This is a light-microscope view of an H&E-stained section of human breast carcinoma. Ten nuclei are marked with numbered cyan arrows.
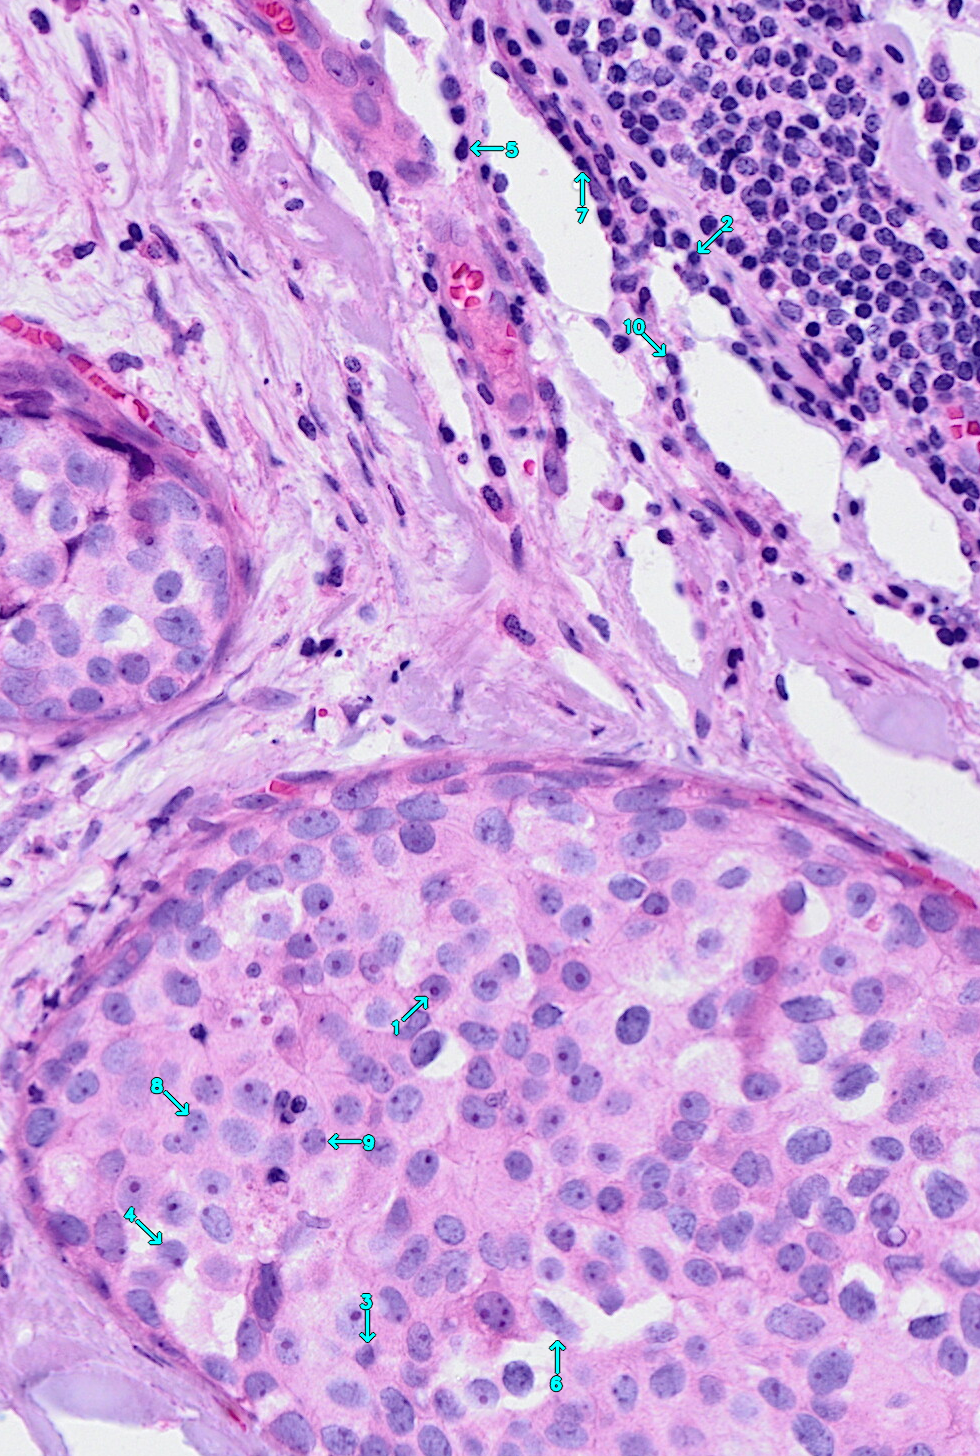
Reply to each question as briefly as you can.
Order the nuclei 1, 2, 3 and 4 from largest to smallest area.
4, 1, 3, 2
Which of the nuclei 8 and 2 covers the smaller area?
2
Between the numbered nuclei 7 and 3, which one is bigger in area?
3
